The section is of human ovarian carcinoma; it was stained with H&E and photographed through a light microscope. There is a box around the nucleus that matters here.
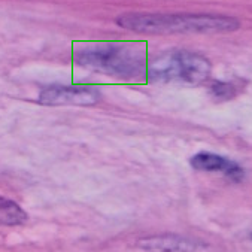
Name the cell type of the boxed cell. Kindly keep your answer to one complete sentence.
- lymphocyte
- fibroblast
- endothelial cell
As far as its identity is concerned, the boxed cell is a fibroblast.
